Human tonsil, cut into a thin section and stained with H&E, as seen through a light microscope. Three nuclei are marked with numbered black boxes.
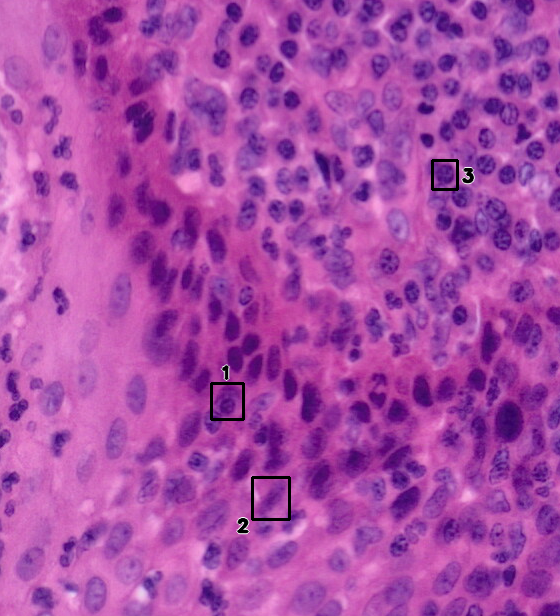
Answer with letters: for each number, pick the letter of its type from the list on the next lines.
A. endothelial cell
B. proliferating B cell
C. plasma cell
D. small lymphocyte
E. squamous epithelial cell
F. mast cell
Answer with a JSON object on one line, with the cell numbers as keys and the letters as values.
{"1": "E", "2": "E", "3": "C"}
